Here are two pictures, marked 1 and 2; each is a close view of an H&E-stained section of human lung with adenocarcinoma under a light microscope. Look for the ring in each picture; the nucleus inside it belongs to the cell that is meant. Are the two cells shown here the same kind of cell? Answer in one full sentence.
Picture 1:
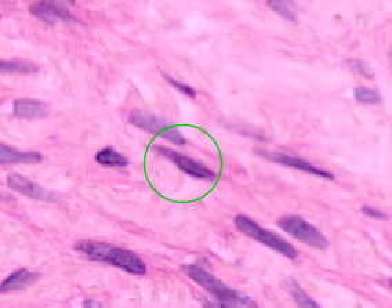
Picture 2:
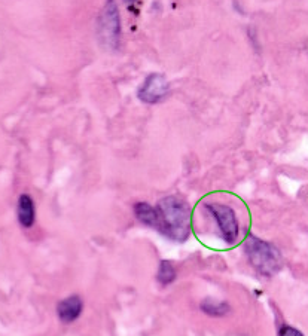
No, the types are not the same, since picture 1 shows a “smooth muscle cell or pericyte” and picture 2 a fibroblast.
